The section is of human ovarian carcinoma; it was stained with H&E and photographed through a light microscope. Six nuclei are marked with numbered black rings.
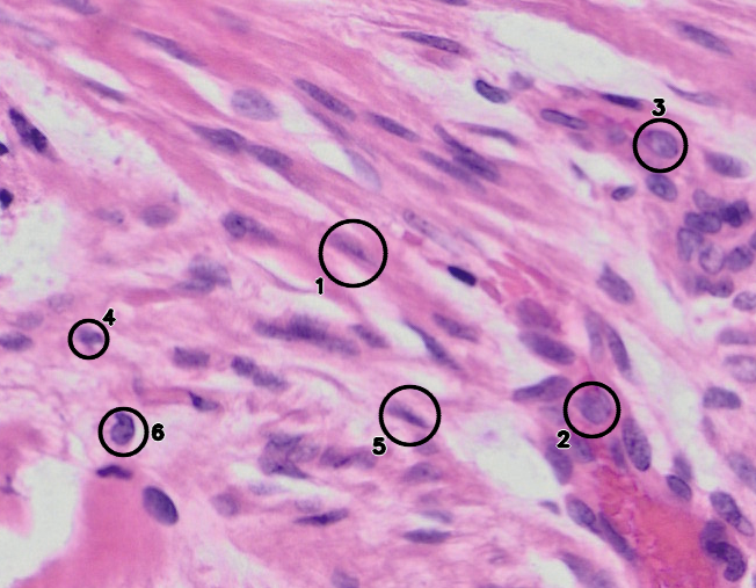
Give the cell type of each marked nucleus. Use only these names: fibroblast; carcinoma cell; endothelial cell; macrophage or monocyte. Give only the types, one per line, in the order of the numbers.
fibroblast
endothelial cell
endothelial cell
fibroblast
fibroblast
macrophage or monocyte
